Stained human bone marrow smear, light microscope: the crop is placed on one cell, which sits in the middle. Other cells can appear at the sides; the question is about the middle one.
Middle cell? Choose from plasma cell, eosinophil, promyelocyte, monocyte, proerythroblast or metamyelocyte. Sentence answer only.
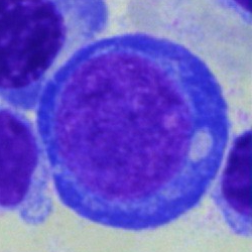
In the central position of this crop, the cell is a proerythroblast.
